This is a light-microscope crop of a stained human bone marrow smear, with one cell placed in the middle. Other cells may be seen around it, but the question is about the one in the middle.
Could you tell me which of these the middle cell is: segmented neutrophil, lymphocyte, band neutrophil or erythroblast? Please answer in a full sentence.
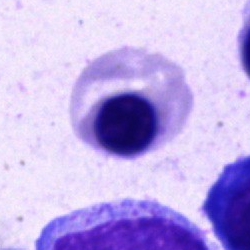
In the middle of this smear crop is an erythroblast.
